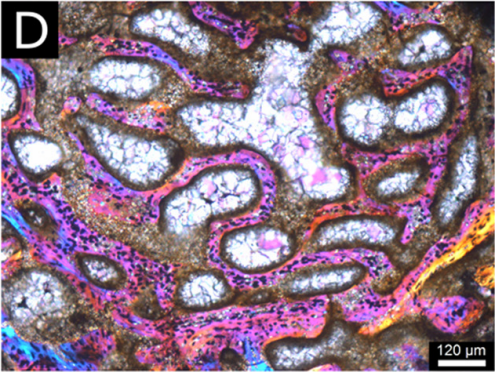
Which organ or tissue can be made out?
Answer: woven bone trabeculae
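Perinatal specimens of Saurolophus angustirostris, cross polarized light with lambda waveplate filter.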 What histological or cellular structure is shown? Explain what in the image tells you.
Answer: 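Many small dark dots are scattered through the pink struts. The dots are crowded and irregularly arranged. So: osteocyte lacunae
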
